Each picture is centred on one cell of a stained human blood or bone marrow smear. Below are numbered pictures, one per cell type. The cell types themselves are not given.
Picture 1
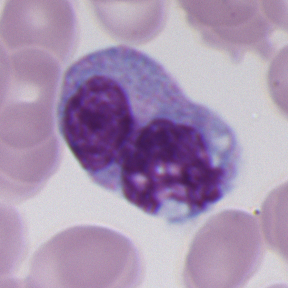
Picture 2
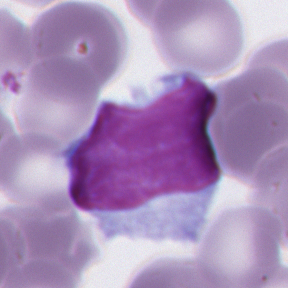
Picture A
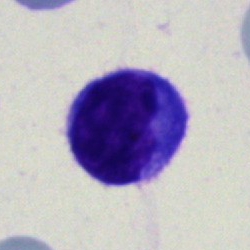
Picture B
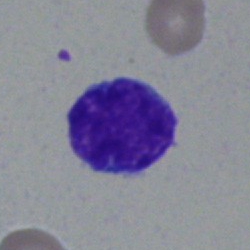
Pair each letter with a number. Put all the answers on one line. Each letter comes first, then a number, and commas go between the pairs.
A 2, B 2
